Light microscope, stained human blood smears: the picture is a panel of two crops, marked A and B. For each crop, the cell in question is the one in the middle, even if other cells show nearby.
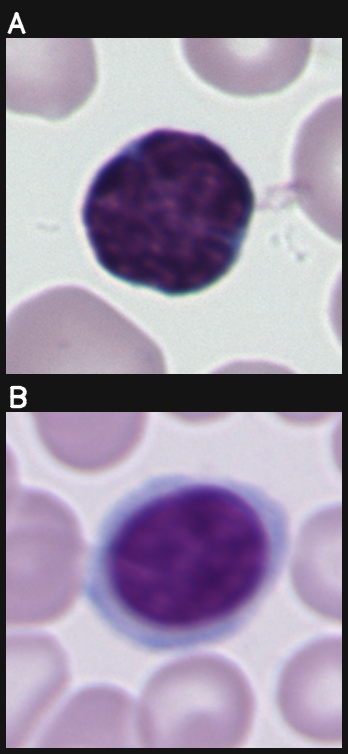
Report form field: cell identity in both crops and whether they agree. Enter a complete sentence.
Yes, the two crops show typical lymphocytes at their centres.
